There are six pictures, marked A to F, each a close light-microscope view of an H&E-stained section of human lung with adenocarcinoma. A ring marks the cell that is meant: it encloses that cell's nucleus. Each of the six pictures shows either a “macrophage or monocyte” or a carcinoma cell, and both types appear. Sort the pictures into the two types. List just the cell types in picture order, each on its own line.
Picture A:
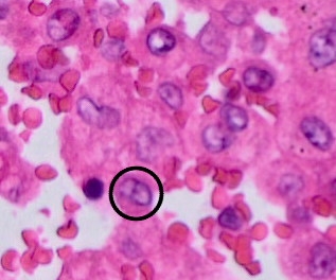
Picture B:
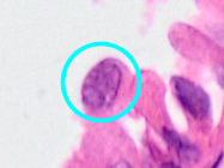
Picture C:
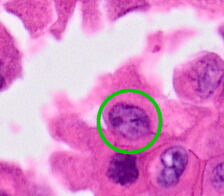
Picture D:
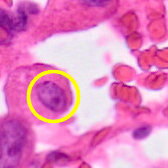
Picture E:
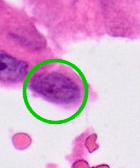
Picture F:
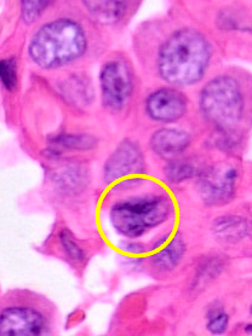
macrophage or monocyte
carcinoma cell
carcinoma cell
macrophage or monocyte
carcinoma cell
carcinoma cell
